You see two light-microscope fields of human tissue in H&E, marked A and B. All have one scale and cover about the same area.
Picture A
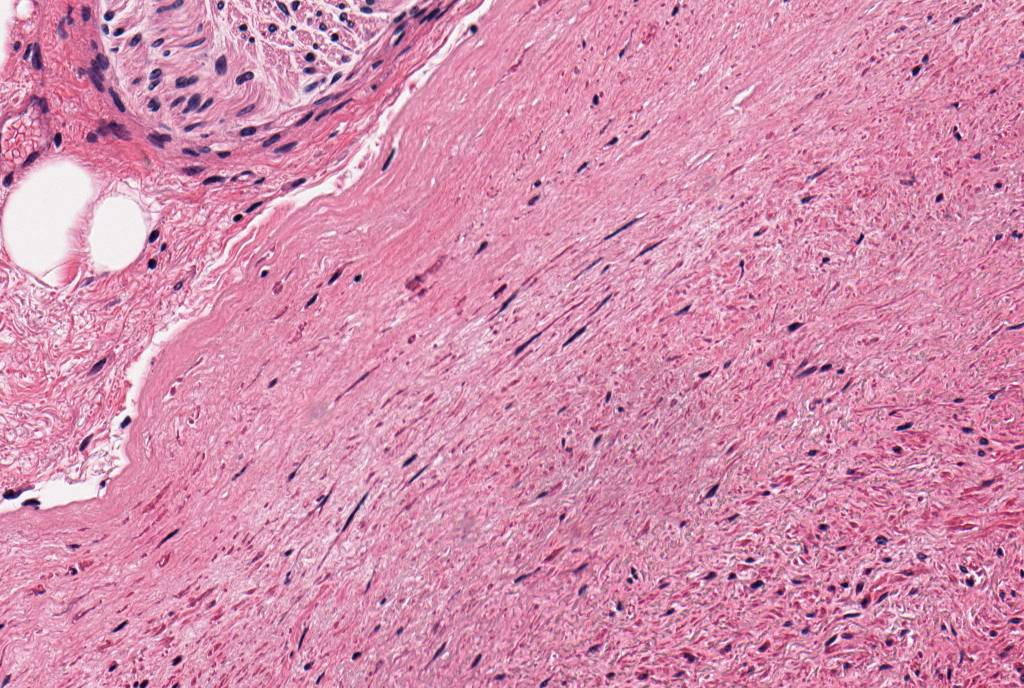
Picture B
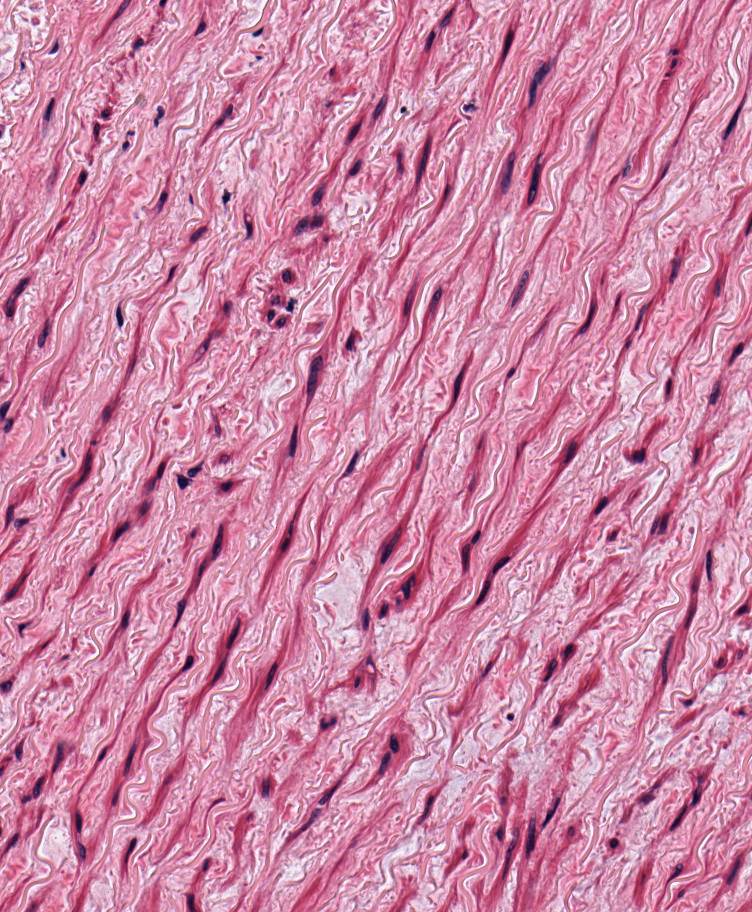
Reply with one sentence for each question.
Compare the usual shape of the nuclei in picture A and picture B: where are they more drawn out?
Longer, more slender nuclei lie in picture B.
